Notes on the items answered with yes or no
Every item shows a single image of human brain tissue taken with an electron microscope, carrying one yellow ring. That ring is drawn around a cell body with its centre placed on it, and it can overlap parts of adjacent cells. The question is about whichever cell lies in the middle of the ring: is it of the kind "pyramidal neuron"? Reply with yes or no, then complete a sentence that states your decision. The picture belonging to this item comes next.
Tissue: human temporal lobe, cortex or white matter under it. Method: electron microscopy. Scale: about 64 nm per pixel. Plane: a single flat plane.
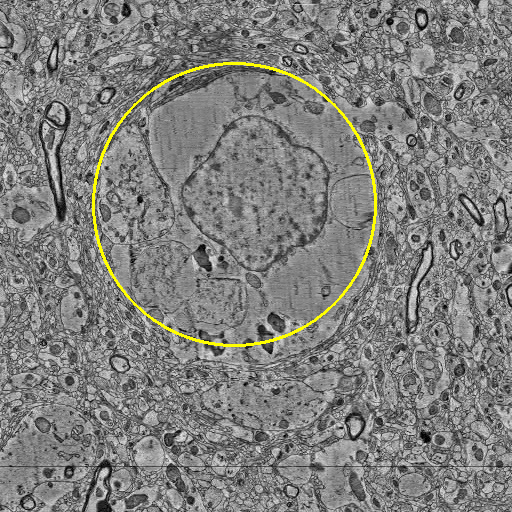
No, this micrograph shows a cell of another kind in the middle of the ring.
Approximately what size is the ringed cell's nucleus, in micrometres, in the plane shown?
About 10 micrometres across, as seen in this plane.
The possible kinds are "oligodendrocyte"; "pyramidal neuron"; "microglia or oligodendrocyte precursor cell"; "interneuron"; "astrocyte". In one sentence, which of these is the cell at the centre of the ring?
It is an astrocyte at the centre of the ring.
